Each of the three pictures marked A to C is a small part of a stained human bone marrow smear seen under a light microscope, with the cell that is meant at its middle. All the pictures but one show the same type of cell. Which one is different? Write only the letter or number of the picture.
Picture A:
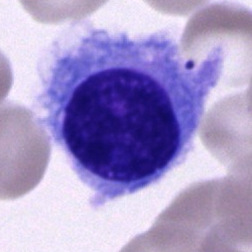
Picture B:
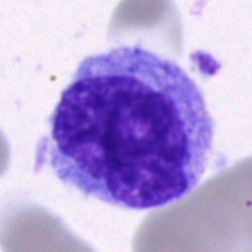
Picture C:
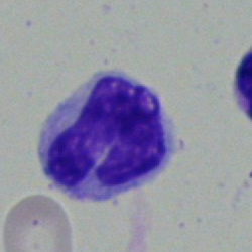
A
